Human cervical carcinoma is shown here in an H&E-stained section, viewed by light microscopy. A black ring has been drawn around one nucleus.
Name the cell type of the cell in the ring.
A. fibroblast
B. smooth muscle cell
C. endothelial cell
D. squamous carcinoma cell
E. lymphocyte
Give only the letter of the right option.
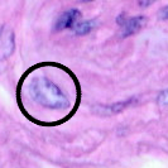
B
